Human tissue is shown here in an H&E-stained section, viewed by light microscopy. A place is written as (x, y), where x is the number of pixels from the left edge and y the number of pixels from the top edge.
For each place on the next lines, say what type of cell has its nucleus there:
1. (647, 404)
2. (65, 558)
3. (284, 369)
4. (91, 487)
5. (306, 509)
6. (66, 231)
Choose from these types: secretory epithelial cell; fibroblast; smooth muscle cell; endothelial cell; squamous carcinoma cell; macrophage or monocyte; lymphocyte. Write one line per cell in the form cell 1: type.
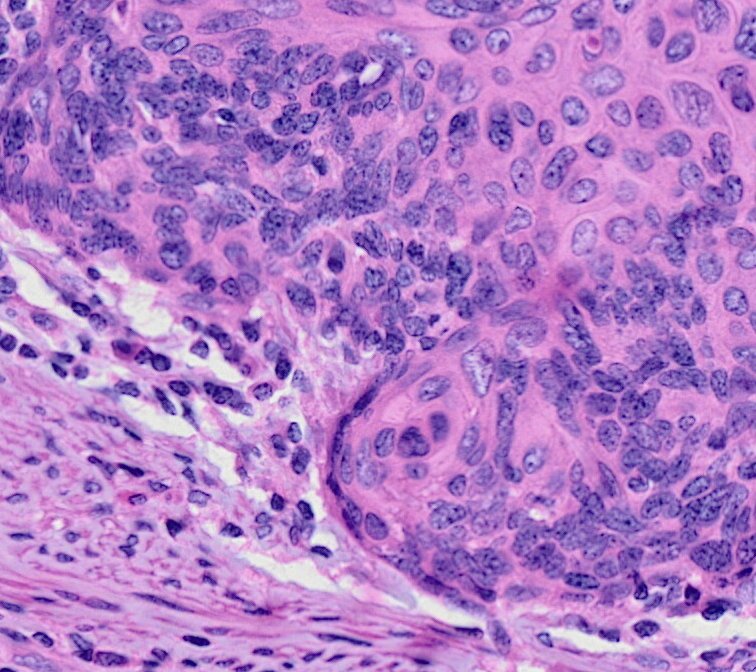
cell 1: squamous carcinoma cell
cell 2: fibroblast
cell 3: lymphocyte
cell 4: smooth muscle cell
cell 5: lymphocyte
cell 6: squamous carcinoma cell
